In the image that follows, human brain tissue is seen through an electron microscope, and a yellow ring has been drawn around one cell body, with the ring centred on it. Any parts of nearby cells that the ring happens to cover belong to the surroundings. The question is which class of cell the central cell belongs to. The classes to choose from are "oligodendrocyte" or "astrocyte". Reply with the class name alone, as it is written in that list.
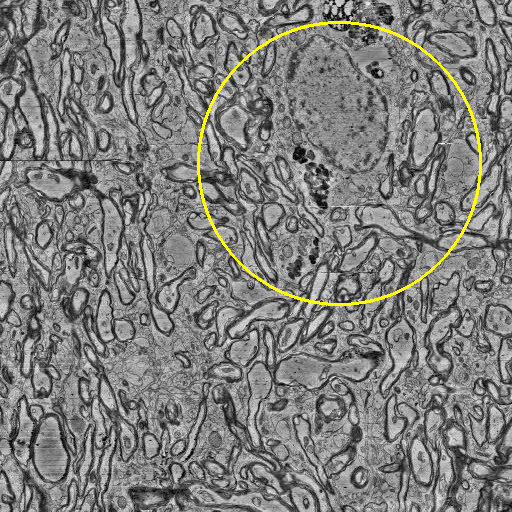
astrocyte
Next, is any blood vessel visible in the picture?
No.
